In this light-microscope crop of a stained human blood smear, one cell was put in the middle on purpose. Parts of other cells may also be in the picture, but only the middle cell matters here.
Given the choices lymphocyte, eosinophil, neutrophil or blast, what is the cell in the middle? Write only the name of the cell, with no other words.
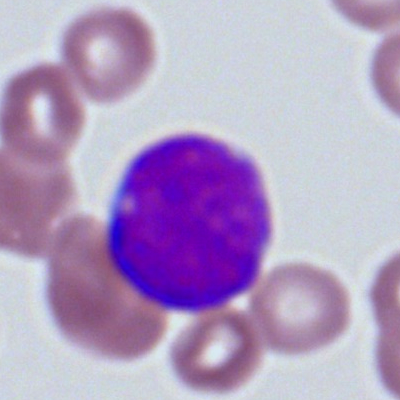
blast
